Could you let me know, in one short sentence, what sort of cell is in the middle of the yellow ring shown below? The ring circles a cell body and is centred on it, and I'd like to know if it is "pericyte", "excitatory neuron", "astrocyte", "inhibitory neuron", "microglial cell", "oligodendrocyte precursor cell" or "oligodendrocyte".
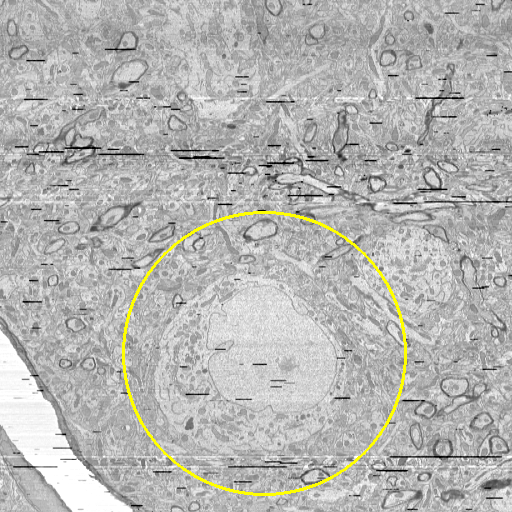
The ring circles the cell body of an excitatory neuron.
